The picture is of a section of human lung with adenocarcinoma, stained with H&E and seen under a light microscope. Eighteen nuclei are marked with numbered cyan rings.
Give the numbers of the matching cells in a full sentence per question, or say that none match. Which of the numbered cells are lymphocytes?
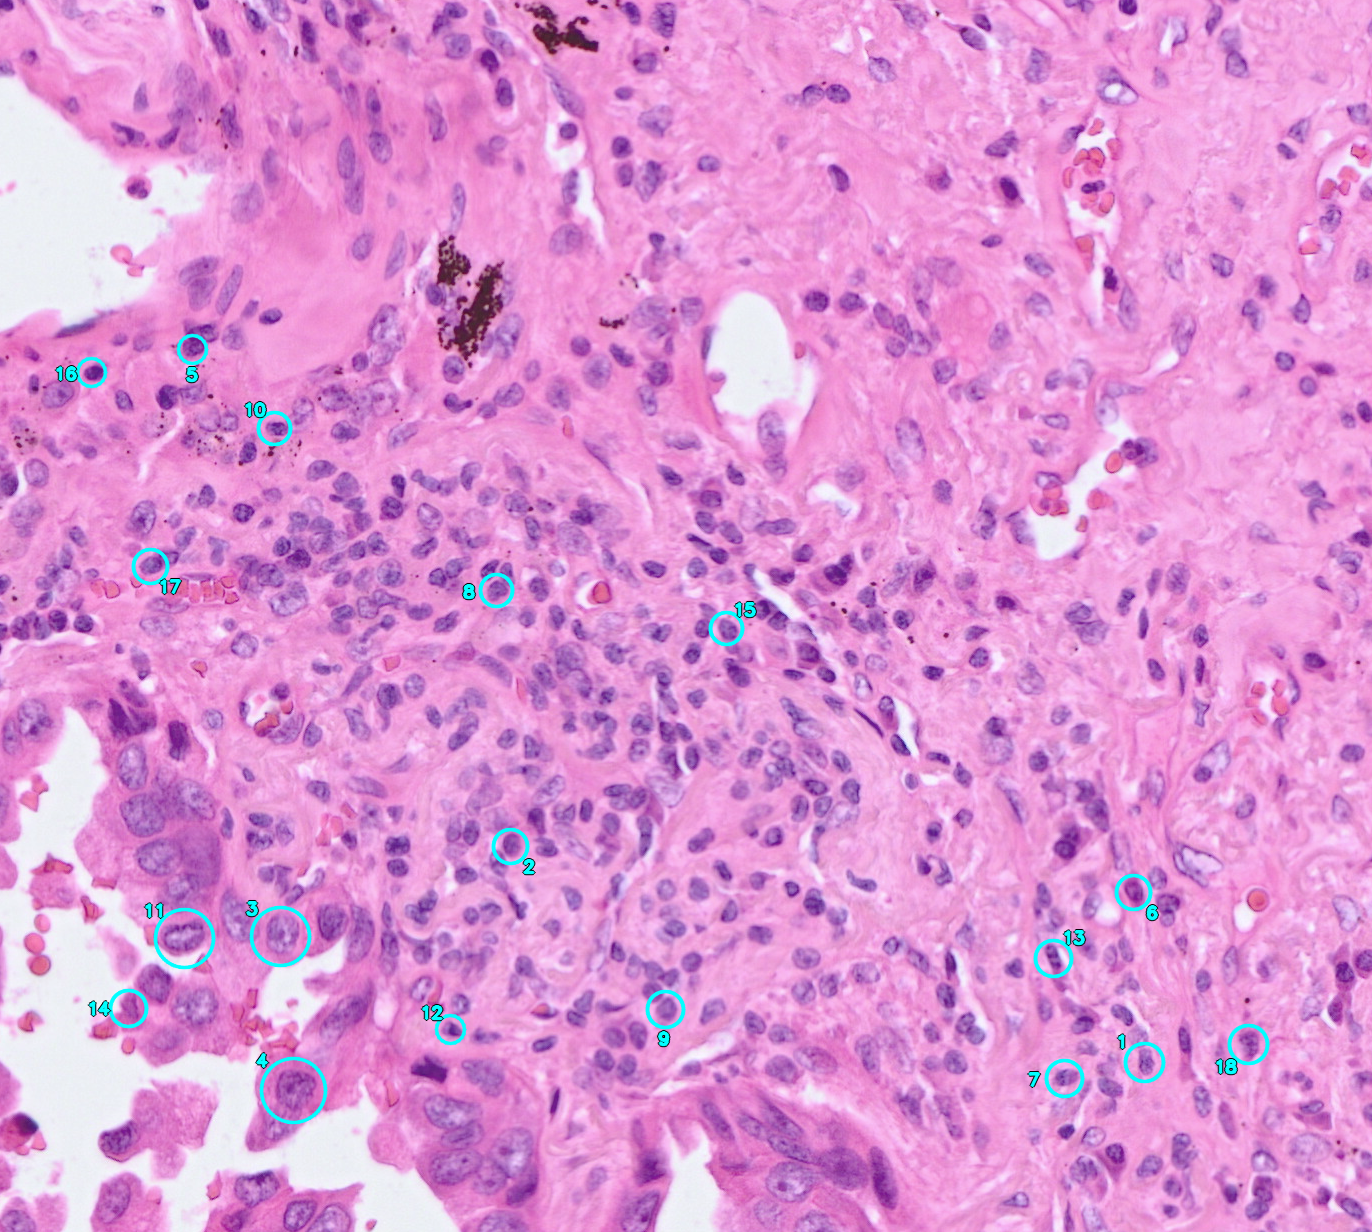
The cells with labels 1, 2, 7, 8, 9, 10, 12, 15, 16 and 17 are lymphocytes.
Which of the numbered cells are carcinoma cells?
The cells referred to by the numbers 3, 4, 11 and 14 are carcinoma cells.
